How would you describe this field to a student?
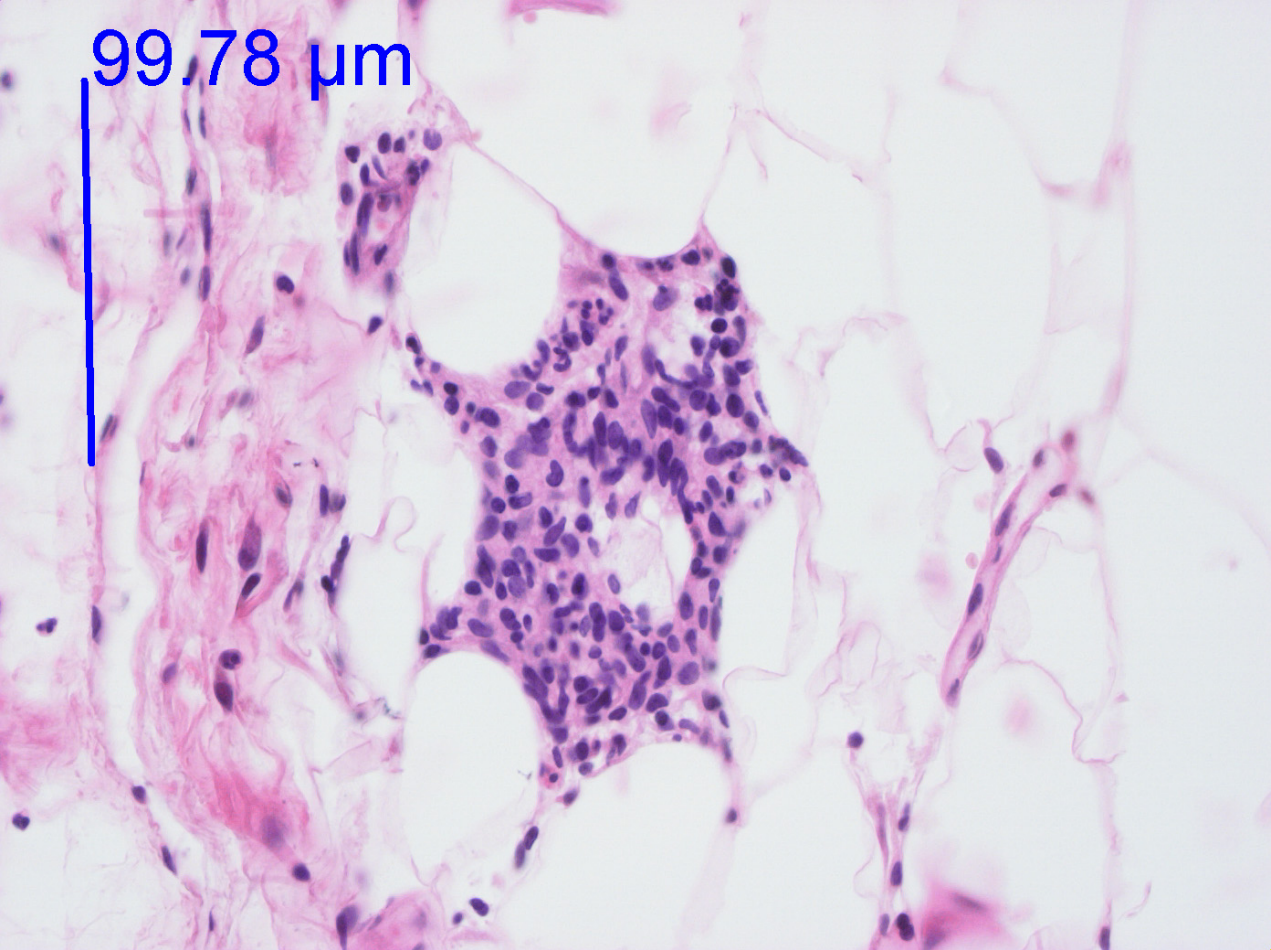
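This is fat tissue, made of large clear, empty-looking fat cells separated by thin pink membranes, with a dense cluster of inflammatory cells wedged between them. The fat cells have flattened, dark nuclei pressed against their edges. In the centre, many small cells with dark purple round, oval or slightly bent nuclei and little cytoplasm are packed tightly into the space between several fat cells. At the left lies a band of wavy pink fibrous connective tissue with scattered spindle-shaped nuclei.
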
